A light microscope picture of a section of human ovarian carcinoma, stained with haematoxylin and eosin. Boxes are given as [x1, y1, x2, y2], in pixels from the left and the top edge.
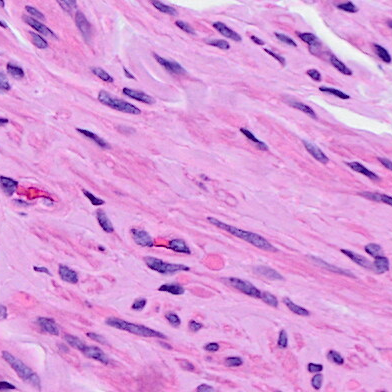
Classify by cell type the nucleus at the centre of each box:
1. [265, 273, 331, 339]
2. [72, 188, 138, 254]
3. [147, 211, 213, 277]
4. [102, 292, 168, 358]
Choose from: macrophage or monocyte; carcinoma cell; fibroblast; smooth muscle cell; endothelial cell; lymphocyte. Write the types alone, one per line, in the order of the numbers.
smooth muscle cell
smooth muscle cell
endothelial cell
smooth muscle cell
